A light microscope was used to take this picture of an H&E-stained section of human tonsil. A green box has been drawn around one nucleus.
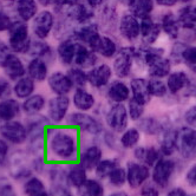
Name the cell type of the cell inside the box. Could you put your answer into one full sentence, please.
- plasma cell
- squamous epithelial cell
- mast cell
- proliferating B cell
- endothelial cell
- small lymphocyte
By its classification, the cell inside the box is a small lymphocyte.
